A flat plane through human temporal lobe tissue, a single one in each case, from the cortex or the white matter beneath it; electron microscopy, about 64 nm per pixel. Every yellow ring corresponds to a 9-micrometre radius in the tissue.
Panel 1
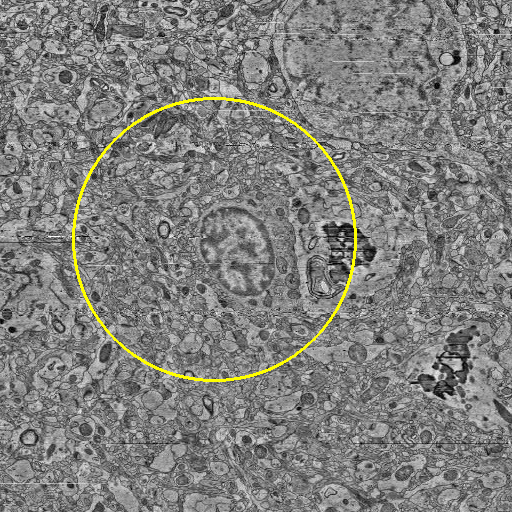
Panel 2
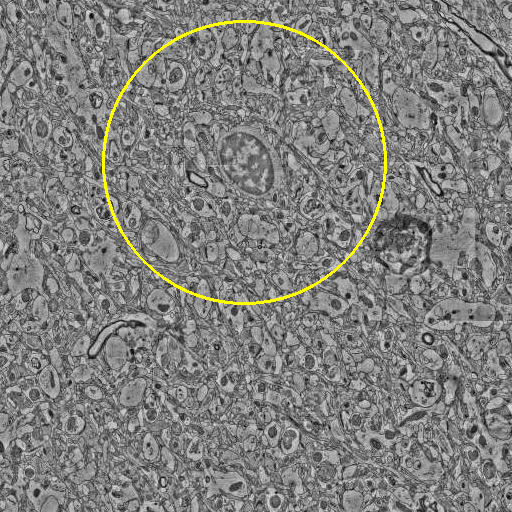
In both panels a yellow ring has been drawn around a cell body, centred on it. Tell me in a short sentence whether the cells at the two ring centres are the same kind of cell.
Yes, they are the same kind of cell.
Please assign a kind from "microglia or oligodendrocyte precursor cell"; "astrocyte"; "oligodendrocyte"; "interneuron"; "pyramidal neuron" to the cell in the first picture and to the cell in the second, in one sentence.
Both rings mark an oligodendrocyte, one in each picture.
